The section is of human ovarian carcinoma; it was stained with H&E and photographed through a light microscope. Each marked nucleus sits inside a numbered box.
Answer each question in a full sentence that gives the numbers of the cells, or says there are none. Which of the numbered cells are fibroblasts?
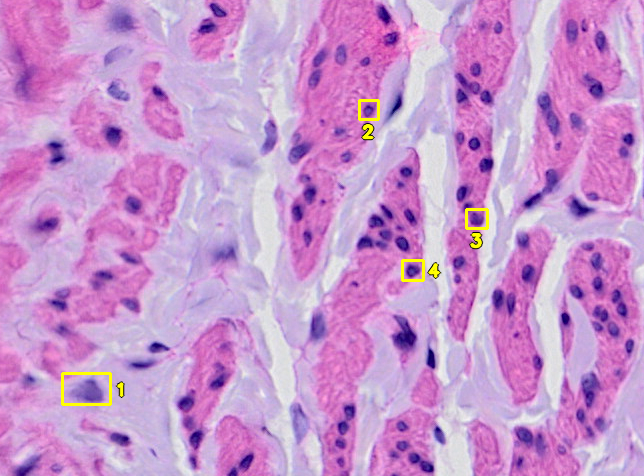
Cell number 1 alone is a fibroblast; the rest are not.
